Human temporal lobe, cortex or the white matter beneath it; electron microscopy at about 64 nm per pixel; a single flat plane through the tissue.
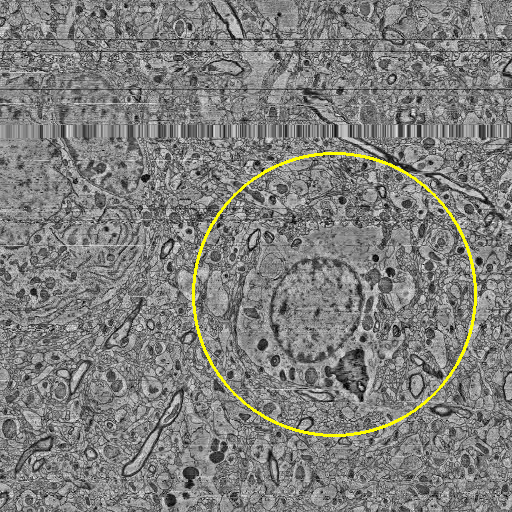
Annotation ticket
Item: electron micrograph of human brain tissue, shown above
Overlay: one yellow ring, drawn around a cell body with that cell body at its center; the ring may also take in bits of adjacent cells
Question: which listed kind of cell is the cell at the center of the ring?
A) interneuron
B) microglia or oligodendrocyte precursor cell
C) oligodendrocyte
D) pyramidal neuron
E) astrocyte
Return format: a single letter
E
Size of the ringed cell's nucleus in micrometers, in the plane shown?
Approximately 7 by 6 micrometers in this plane.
